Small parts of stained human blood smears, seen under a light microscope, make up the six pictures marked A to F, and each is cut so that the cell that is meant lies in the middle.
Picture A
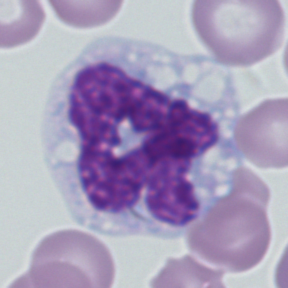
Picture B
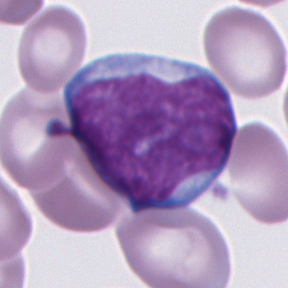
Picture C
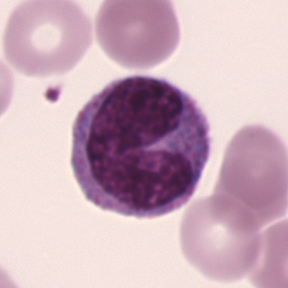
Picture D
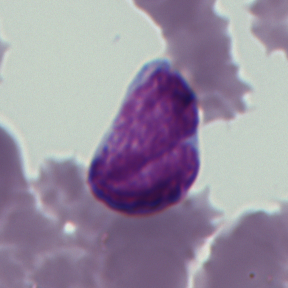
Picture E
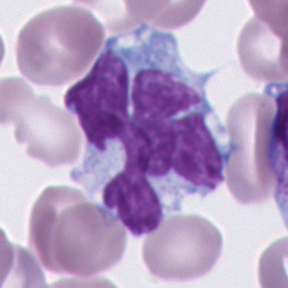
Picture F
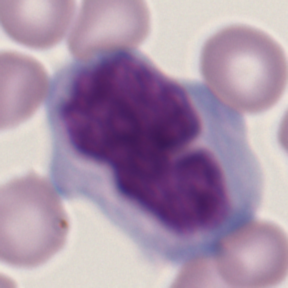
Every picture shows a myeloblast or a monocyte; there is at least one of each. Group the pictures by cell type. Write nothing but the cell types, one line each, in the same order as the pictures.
monocyte
myeloblast
monocyte
myeloblast
monocyte
monocyte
